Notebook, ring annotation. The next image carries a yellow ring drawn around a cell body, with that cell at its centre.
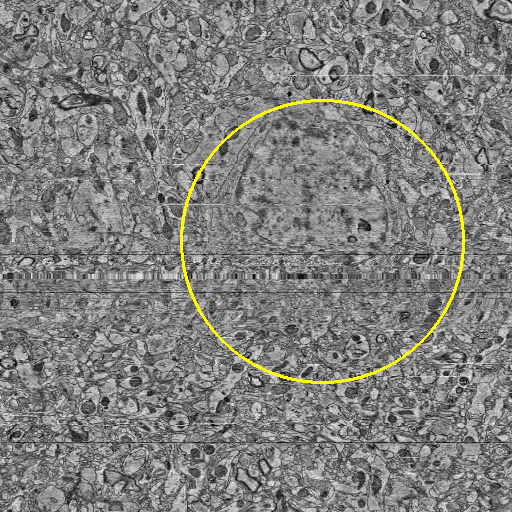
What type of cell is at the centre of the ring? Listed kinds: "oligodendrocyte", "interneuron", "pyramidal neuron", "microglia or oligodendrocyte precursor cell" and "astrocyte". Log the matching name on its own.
interneuron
